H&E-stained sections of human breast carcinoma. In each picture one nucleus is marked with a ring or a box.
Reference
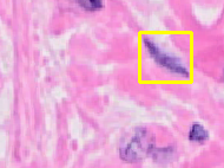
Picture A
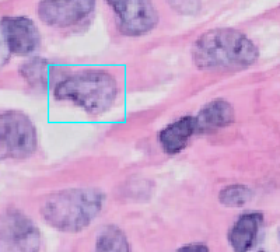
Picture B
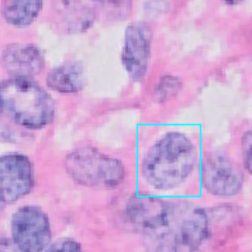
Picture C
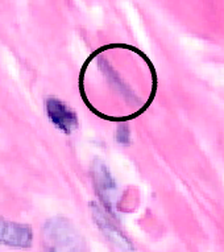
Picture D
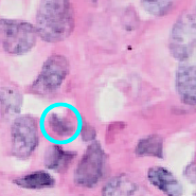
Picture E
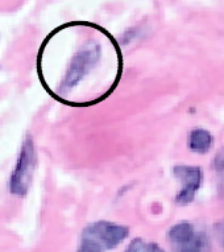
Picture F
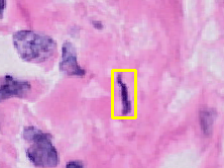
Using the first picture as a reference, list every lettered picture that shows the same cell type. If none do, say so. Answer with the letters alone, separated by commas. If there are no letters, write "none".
C, E, F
